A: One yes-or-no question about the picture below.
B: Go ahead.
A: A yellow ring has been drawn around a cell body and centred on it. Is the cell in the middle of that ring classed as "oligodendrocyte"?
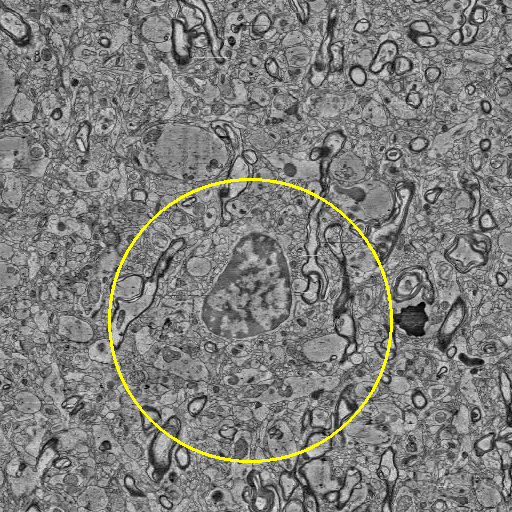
No, it is classed as another kind.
